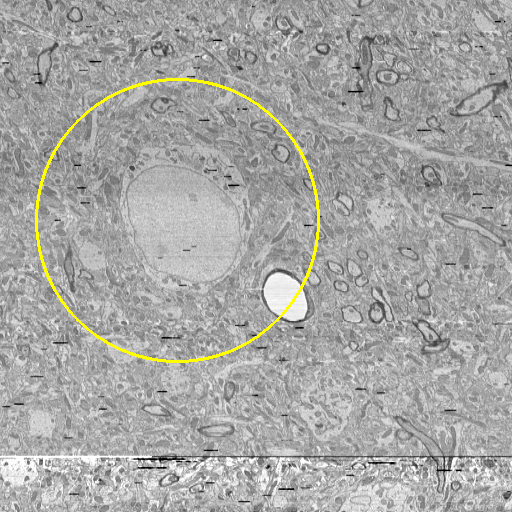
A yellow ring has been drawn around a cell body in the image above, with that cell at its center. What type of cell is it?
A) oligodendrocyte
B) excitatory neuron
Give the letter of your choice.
B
